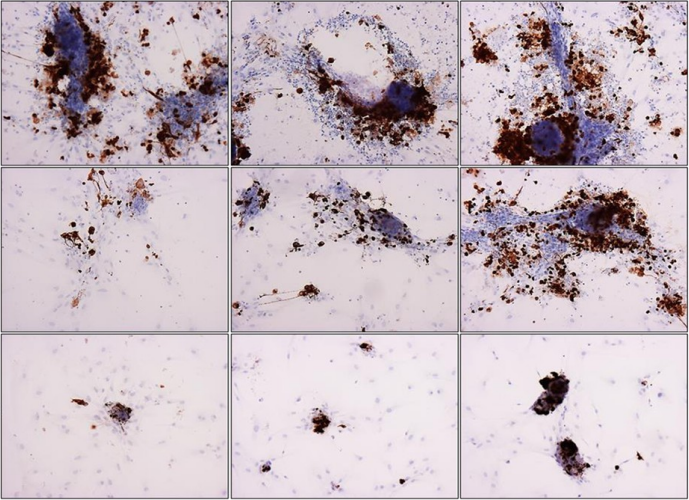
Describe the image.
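The brown cells are rounded and gather in tight clusters and dense dark aggregates, often sitting on or beside mounds of blue-counterstained cells. Between the clusters lies a pale sheet of flat, spread-out cells whose nuclei are stained blue. Across the grid the number of brown cells varies widely; in the bottom row only a few small, scattered brown clusters remain on the pale background.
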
